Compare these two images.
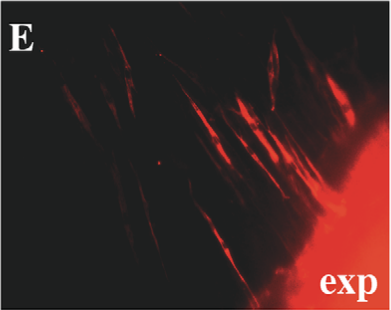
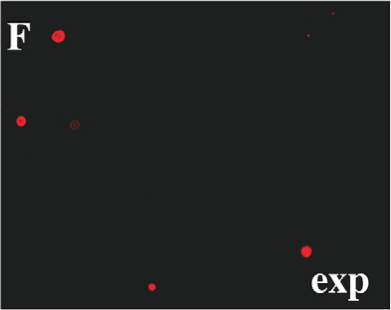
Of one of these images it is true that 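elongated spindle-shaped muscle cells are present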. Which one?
The first image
